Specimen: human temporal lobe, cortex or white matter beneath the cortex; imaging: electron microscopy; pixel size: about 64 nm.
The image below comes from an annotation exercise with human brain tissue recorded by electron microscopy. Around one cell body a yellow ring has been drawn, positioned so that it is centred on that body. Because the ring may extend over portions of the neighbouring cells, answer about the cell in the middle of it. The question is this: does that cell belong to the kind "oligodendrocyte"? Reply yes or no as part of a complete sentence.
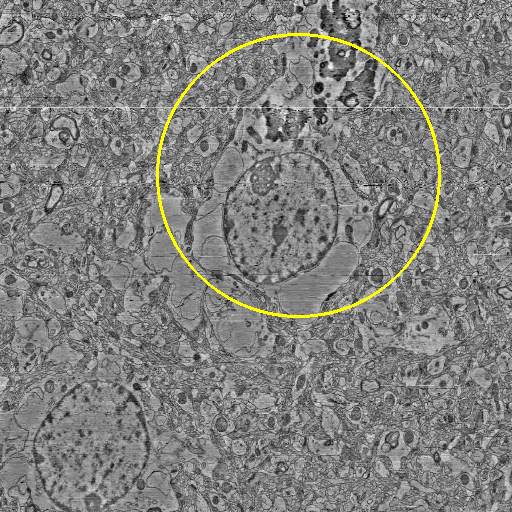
No, in the image the cell in the middle of the ring is of another kind.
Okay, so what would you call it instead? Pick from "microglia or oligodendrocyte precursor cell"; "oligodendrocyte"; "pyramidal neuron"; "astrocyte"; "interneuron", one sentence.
The cell in the ring is an astrocyte instead.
